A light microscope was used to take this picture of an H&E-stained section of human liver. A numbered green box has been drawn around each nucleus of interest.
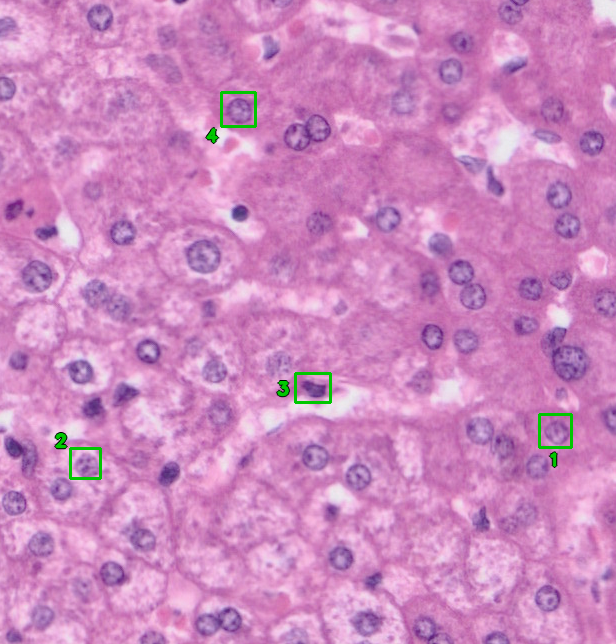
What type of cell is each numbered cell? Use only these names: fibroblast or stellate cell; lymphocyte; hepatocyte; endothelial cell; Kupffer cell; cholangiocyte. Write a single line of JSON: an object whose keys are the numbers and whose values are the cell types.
{"1": "hepatocyte", "2": "hepatocyte", "3": "Kupffer cell", "4": "hepatocyte"}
